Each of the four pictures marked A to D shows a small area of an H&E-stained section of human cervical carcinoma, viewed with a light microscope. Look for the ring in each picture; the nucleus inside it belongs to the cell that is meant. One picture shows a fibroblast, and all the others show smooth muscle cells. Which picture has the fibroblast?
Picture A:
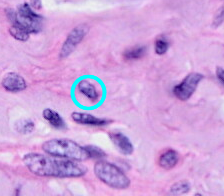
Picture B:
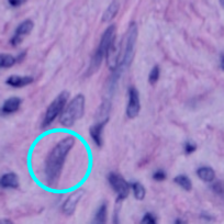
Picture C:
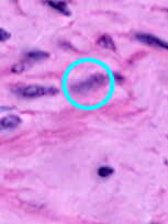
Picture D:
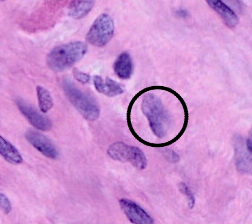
D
